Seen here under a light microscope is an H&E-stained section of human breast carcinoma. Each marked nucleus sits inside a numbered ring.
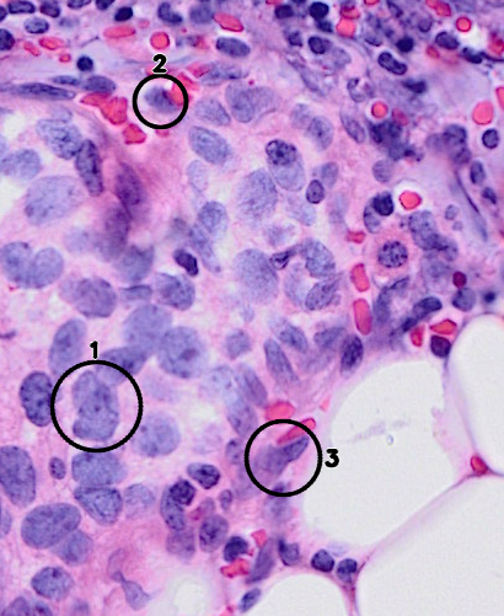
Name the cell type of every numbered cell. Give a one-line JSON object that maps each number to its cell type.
{"1": "carcinoma cell", "2": "endothelial cell", "3": "endothelial cell"}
